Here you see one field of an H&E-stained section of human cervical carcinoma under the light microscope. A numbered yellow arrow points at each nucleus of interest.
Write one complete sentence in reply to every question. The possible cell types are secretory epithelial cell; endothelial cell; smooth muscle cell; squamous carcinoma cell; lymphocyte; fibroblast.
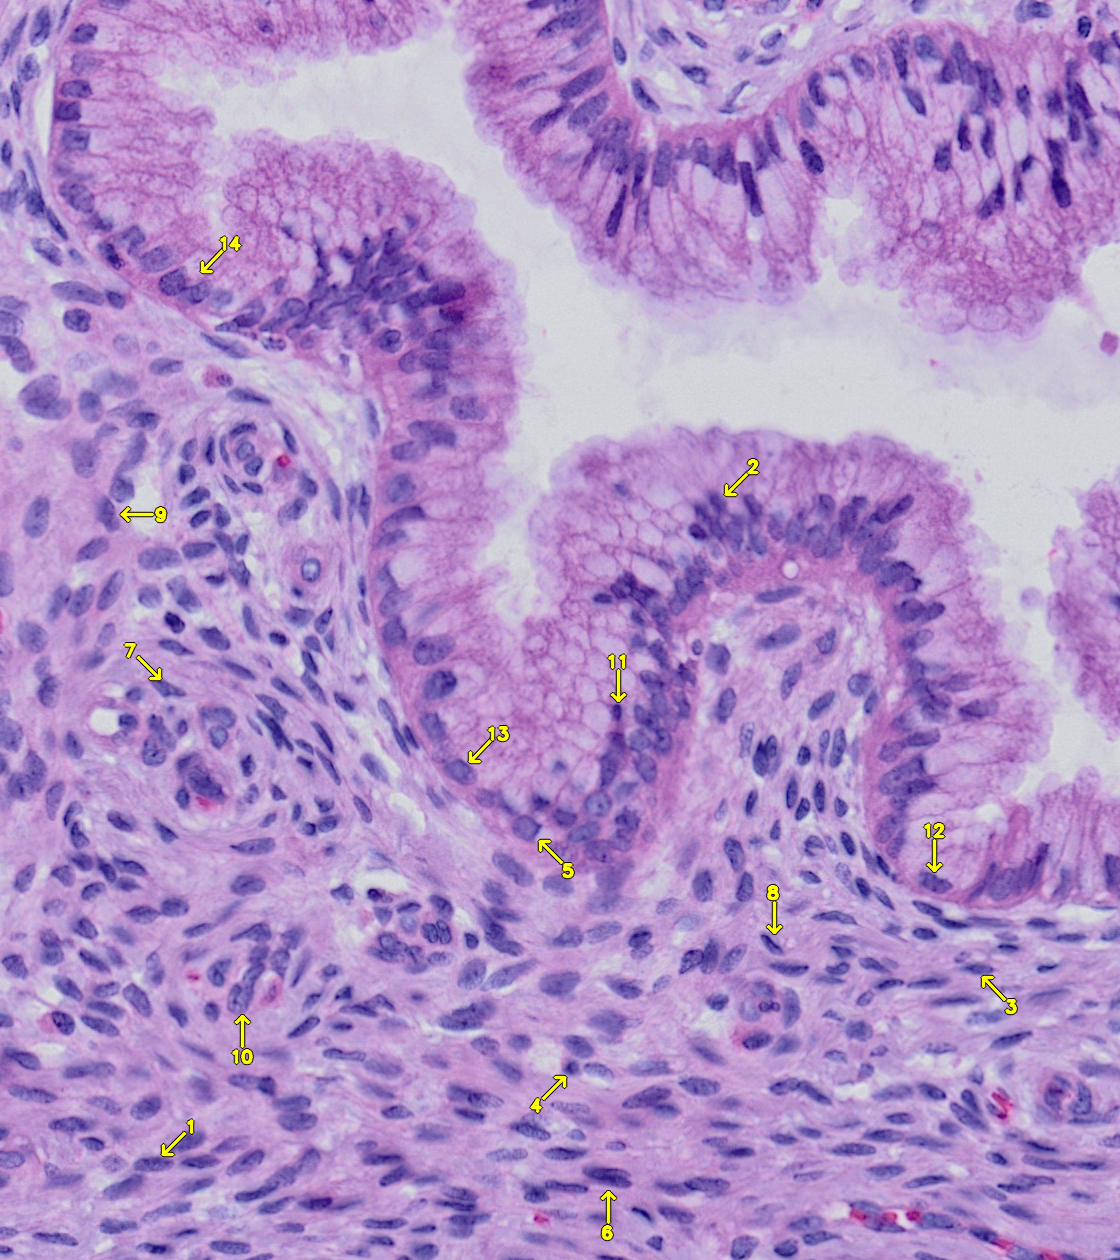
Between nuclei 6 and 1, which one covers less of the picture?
Nucleus 1 is the smaller one; nucleus 6 covers about 1.5 times its area.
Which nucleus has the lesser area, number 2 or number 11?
It is nucleus 11; nucleus 2 has about 1.5 times its area.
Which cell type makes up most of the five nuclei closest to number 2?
Secretory epithelial cells account for more than half of the five nuclei nearest to number 2.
